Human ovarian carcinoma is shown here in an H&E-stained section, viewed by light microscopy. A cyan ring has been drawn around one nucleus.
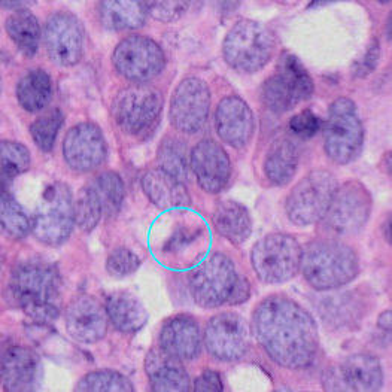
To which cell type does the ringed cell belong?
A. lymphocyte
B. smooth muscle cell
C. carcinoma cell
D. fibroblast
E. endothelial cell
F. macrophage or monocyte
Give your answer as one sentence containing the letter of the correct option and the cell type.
Given that the ringed cell is a macrophage or monocyte, option F is the correct one.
